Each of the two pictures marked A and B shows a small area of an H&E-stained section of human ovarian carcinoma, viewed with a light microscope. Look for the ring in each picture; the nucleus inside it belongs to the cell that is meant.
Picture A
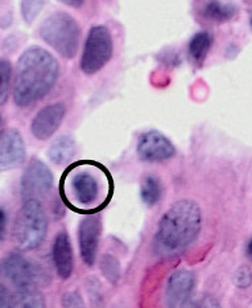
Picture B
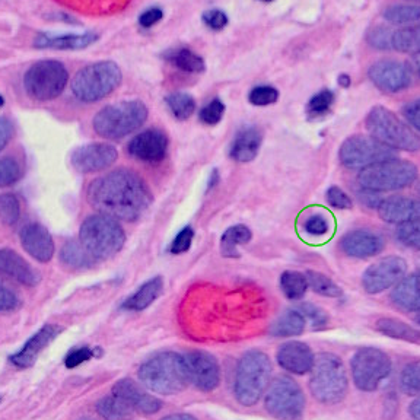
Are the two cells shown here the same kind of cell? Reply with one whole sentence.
Yes, both are lymphocytes.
